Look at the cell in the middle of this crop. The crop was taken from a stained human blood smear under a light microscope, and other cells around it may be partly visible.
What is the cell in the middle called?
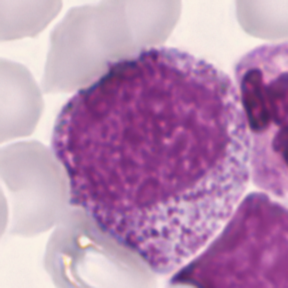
myelocyte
